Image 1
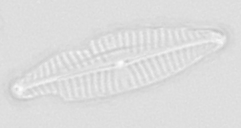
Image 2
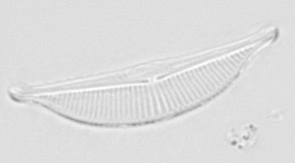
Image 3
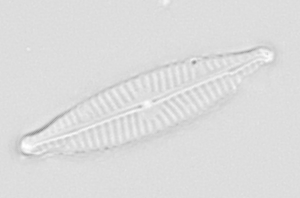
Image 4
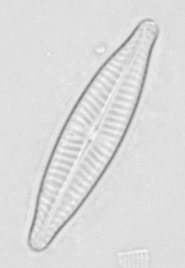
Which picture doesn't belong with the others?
Picture 2.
